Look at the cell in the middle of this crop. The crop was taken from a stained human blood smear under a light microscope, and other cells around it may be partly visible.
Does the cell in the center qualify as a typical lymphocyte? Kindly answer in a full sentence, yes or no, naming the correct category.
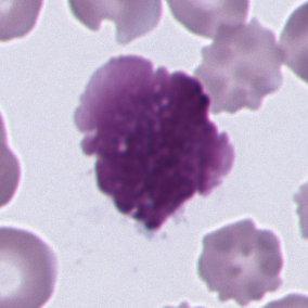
No, at the centre of this crop is found a smudge cell instead of a typical lymphocyte.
